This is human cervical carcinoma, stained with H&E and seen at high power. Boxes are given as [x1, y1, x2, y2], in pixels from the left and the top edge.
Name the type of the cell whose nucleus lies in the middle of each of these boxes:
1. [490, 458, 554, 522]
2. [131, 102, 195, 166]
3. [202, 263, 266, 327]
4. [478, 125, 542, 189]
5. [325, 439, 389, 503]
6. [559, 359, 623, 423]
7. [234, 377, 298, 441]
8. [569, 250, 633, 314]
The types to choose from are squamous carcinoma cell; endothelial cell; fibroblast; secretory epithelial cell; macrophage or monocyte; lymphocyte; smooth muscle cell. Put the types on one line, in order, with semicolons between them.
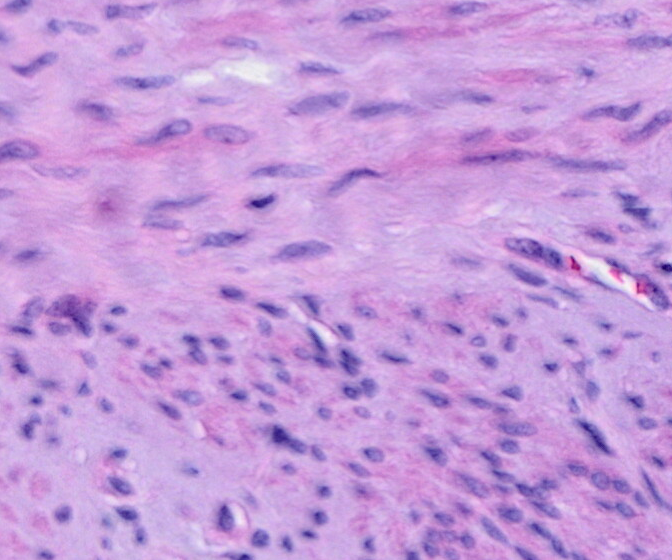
smooth muscle cell; smooth muscle cell; fibroblast; smooth muscle cell; smooth muscle cell; fibroblast; smooth muscle cell; endothelial cell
